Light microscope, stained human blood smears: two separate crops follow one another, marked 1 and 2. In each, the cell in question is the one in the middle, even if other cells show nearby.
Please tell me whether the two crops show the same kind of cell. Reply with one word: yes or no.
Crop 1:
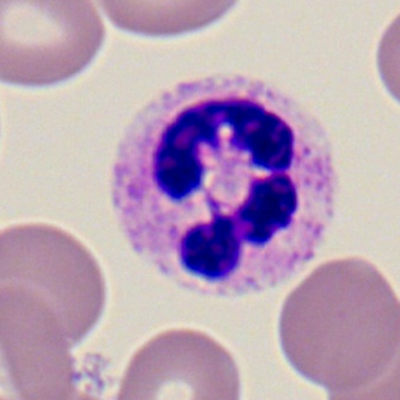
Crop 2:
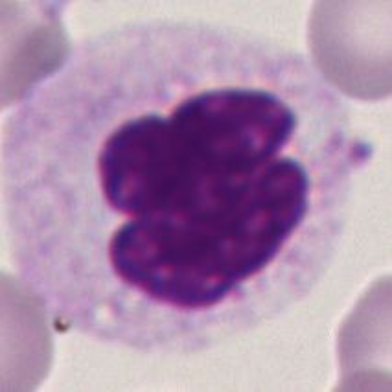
yes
